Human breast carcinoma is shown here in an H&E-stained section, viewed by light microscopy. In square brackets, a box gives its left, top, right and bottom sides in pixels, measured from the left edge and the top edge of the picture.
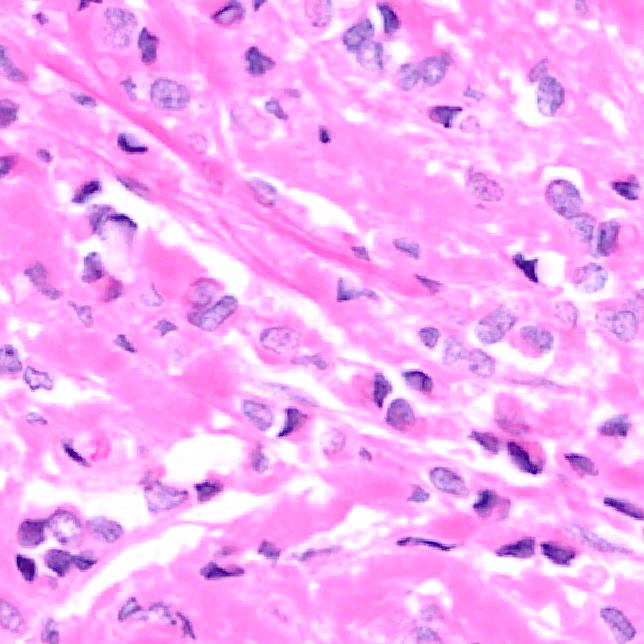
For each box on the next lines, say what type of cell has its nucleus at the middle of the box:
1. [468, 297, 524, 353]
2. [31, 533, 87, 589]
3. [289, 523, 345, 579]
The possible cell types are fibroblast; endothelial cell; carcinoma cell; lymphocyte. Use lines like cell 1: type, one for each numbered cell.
cell 1: carcinoma cell
cell 2: carcinoma cell
cell 3: fibroblast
